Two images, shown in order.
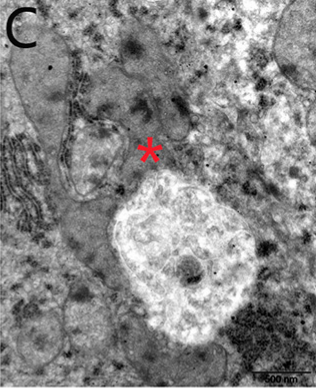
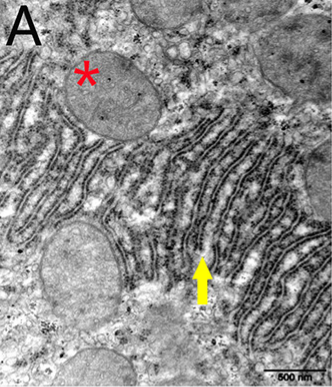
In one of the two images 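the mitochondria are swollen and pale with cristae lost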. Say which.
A: The first image.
